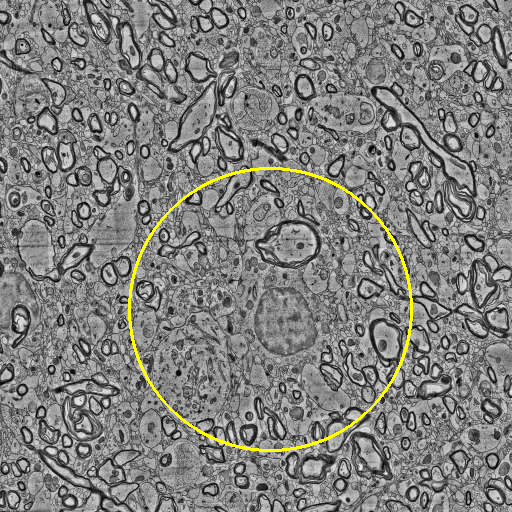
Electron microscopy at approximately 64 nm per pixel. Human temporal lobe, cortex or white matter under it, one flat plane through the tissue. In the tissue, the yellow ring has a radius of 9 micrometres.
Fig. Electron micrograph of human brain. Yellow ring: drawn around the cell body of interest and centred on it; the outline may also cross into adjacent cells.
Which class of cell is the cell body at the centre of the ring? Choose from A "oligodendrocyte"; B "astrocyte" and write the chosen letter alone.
A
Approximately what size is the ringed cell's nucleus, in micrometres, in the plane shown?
In this plane the nucleus measures roughly 4 micrometres across.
